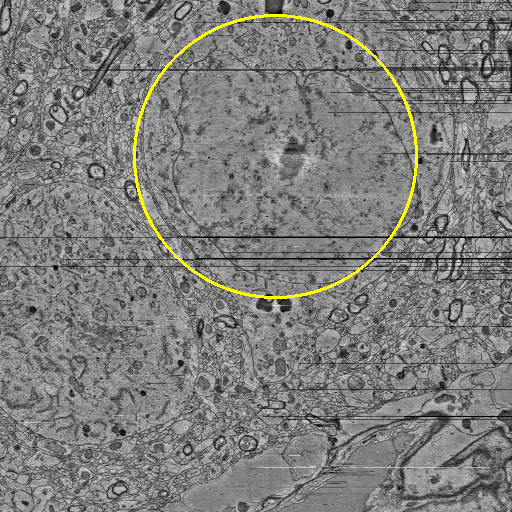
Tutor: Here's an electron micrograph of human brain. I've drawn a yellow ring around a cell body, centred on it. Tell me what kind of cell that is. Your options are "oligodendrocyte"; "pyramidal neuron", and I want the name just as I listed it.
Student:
pyramidal neuron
